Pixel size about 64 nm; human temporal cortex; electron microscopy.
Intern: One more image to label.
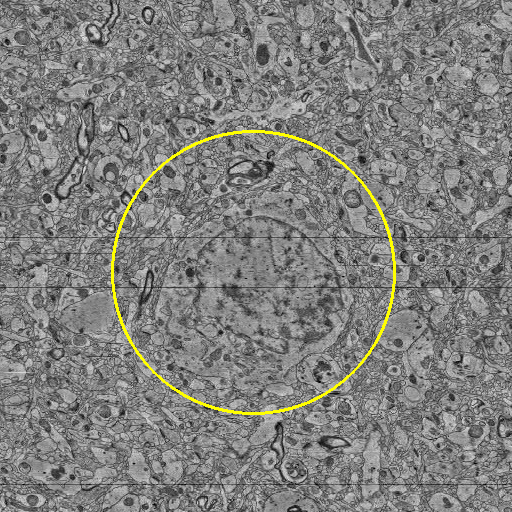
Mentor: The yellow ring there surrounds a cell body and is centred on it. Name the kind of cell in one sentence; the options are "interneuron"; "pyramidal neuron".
The ring marks the cell body of an interneuron.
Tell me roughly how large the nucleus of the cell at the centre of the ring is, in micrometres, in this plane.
In this plane, roughly 10 by 8 micrometres.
